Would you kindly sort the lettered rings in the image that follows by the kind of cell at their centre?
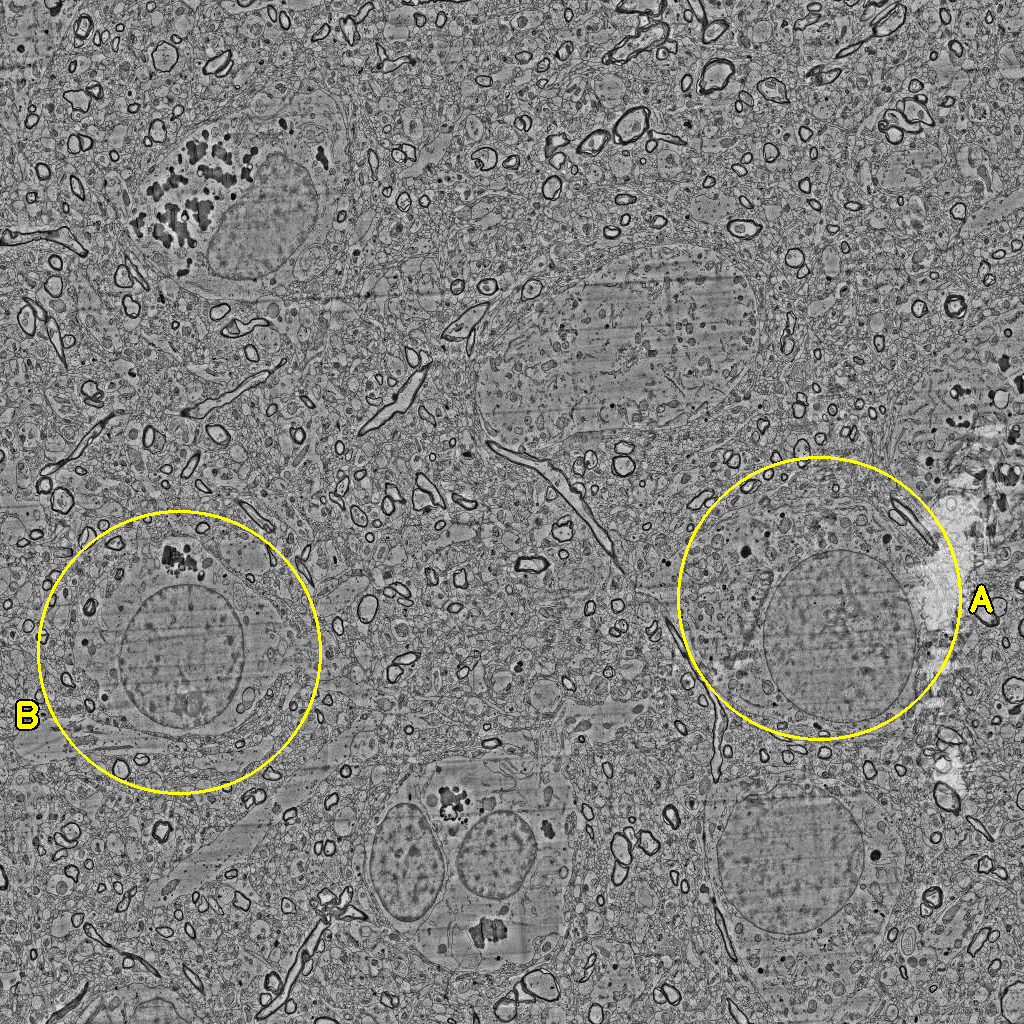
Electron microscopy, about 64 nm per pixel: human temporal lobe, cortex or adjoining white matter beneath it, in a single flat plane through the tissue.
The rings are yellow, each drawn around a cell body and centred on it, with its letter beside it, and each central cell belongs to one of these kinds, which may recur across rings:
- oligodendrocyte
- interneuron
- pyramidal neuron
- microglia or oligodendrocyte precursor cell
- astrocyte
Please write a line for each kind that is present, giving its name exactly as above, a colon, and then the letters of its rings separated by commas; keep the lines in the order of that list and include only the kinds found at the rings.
interneuron: A
astrocyte: B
